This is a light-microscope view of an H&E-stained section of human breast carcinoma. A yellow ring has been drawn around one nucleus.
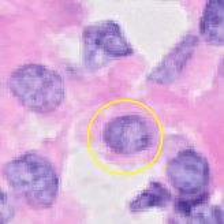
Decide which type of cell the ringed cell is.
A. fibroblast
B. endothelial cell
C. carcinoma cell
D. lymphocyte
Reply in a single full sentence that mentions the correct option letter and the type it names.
Option C is the one to take: the ringed cell is a carcinoma cell.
